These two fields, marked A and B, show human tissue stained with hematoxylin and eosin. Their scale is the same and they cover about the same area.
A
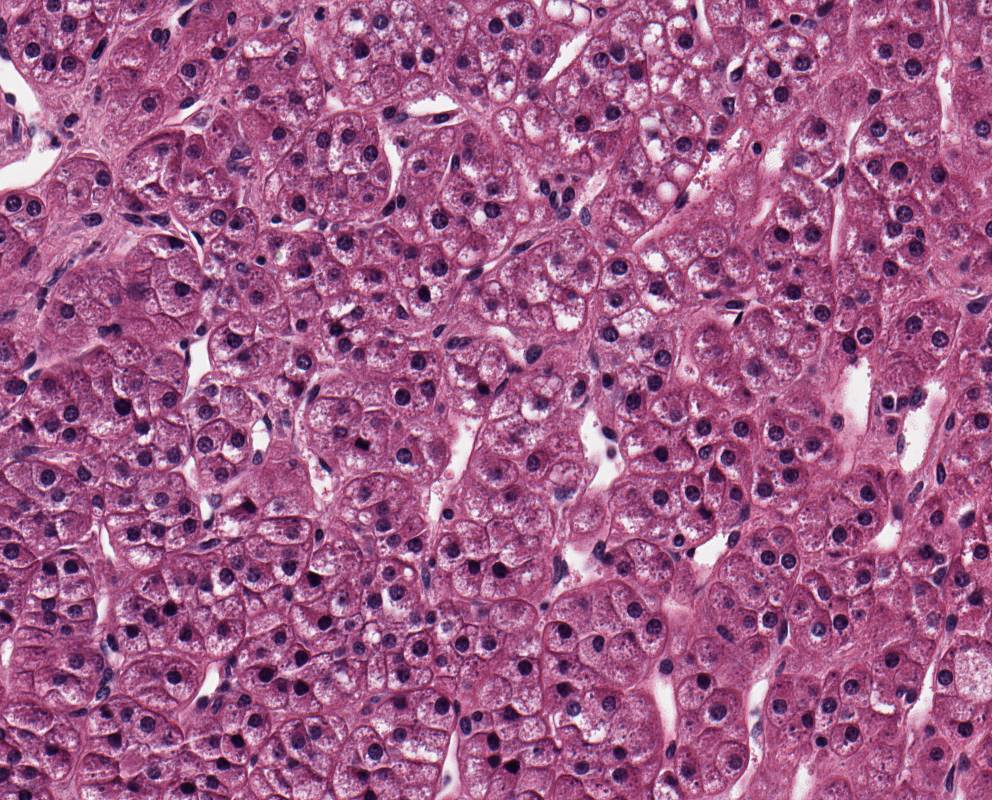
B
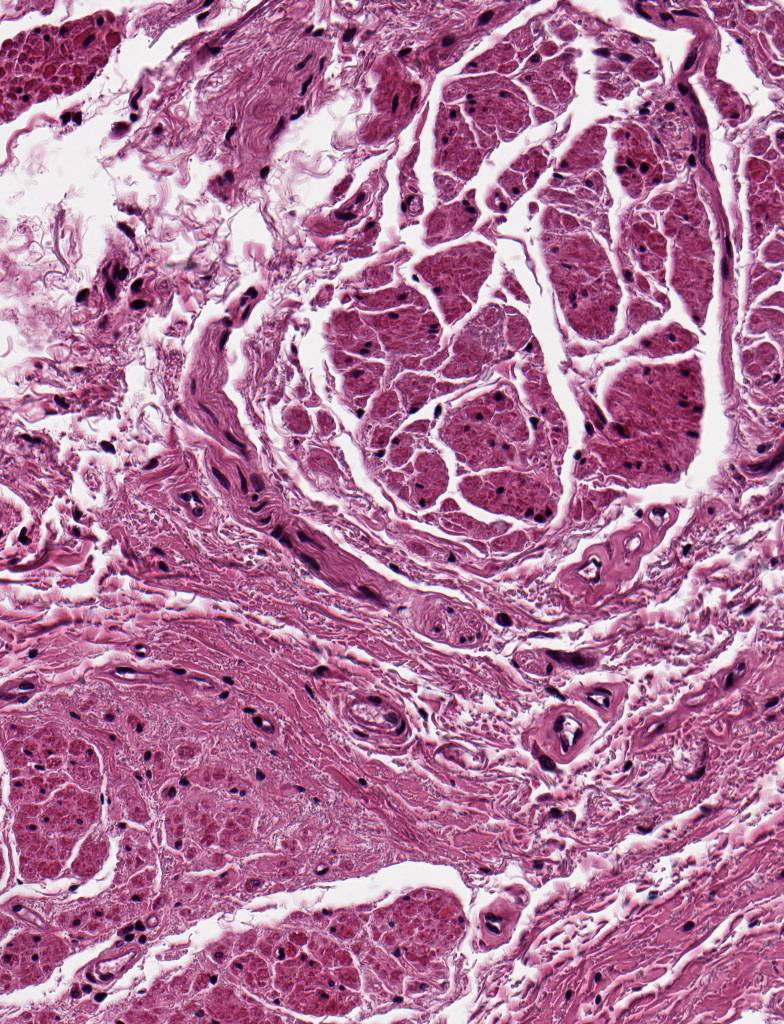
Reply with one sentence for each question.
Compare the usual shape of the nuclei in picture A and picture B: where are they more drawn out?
On the whole the nuclei of picture B are more drawn out than those of picture A.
